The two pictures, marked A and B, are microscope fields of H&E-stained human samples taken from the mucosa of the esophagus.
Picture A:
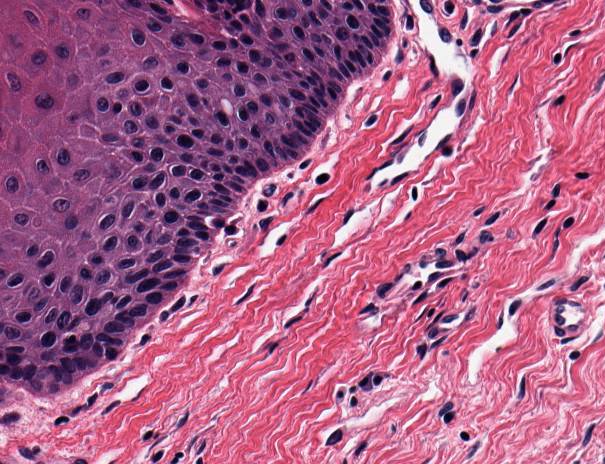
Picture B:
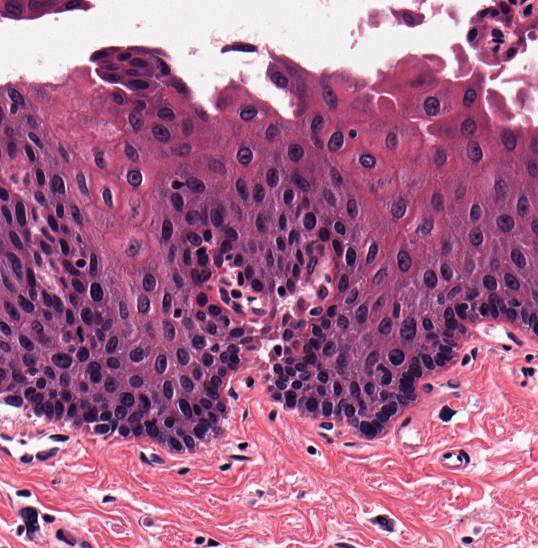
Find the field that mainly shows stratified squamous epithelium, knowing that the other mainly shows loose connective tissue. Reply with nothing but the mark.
B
